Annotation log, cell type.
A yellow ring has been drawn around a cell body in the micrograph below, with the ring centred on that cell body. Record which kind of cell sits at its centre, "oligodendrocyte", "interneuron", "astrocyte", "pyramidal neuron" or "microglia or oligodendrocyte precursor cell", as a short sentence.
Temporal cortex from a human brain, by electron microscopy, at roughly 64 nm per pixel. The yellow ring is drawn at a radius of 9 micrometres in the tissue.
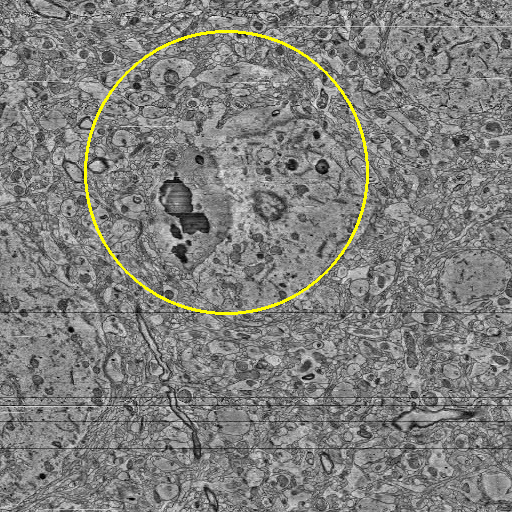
The cell at the centre of this ring is an oligodendrocyte.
